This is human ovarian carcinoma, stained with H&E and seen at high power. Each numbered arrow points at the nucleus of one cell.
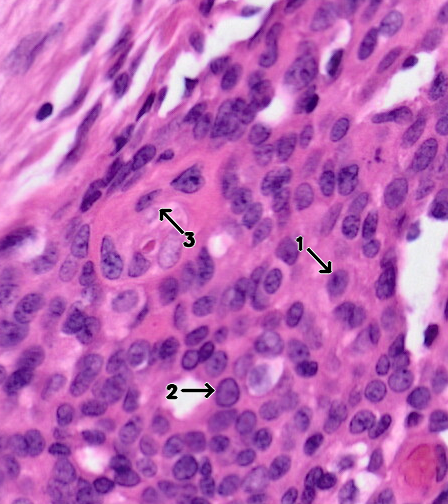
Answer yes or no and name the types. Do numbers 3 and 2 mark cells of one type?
No, as to type, cell 3 is an endothelial cell, and cell 2 is a carcinoma cell.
